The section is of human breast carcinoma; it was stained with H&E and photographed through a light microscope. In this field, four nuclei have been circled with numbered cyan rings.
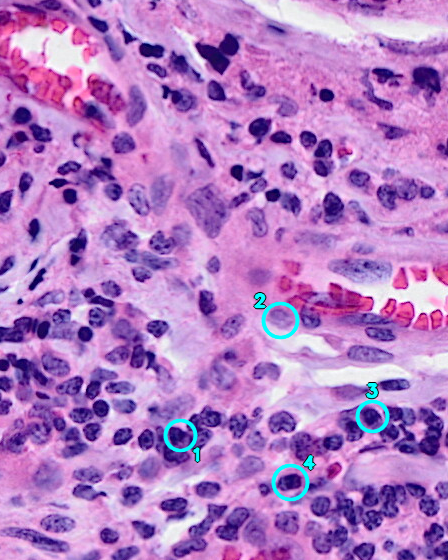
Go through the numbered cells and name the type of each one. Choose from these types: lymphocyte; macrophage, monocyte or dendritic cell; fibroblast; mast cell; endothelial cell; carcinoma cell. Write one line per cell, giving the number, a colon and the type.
1: lymphocyte
2: endothelial cell
3: lymphocyte
4: lymphocyte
